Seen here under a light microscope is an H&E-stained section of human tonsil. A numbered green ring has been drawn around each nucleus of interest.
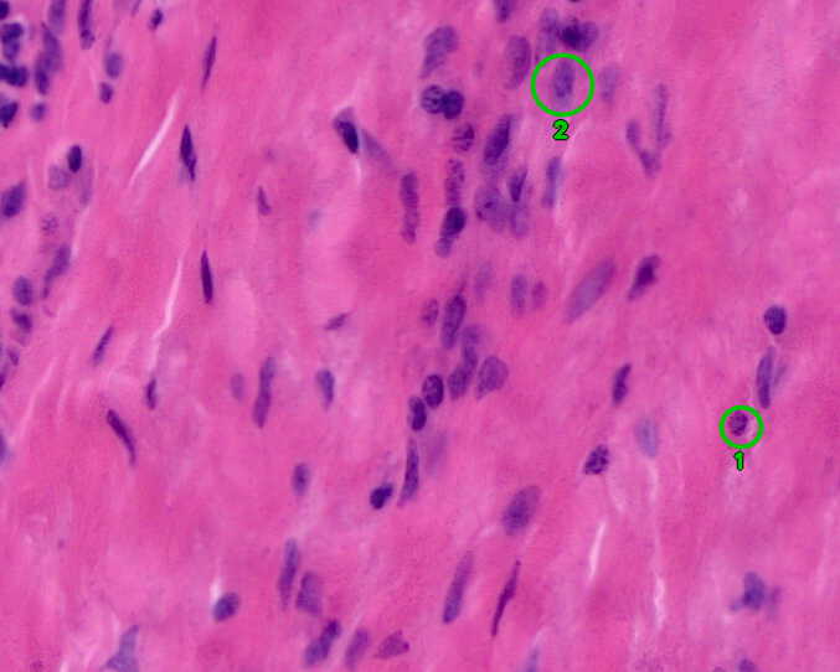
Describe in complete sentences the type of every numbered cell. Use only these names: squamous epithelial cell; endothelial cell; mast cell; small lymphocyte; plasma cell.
Cell 1 is a mast cell and cell 2 is an endothelial cell.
